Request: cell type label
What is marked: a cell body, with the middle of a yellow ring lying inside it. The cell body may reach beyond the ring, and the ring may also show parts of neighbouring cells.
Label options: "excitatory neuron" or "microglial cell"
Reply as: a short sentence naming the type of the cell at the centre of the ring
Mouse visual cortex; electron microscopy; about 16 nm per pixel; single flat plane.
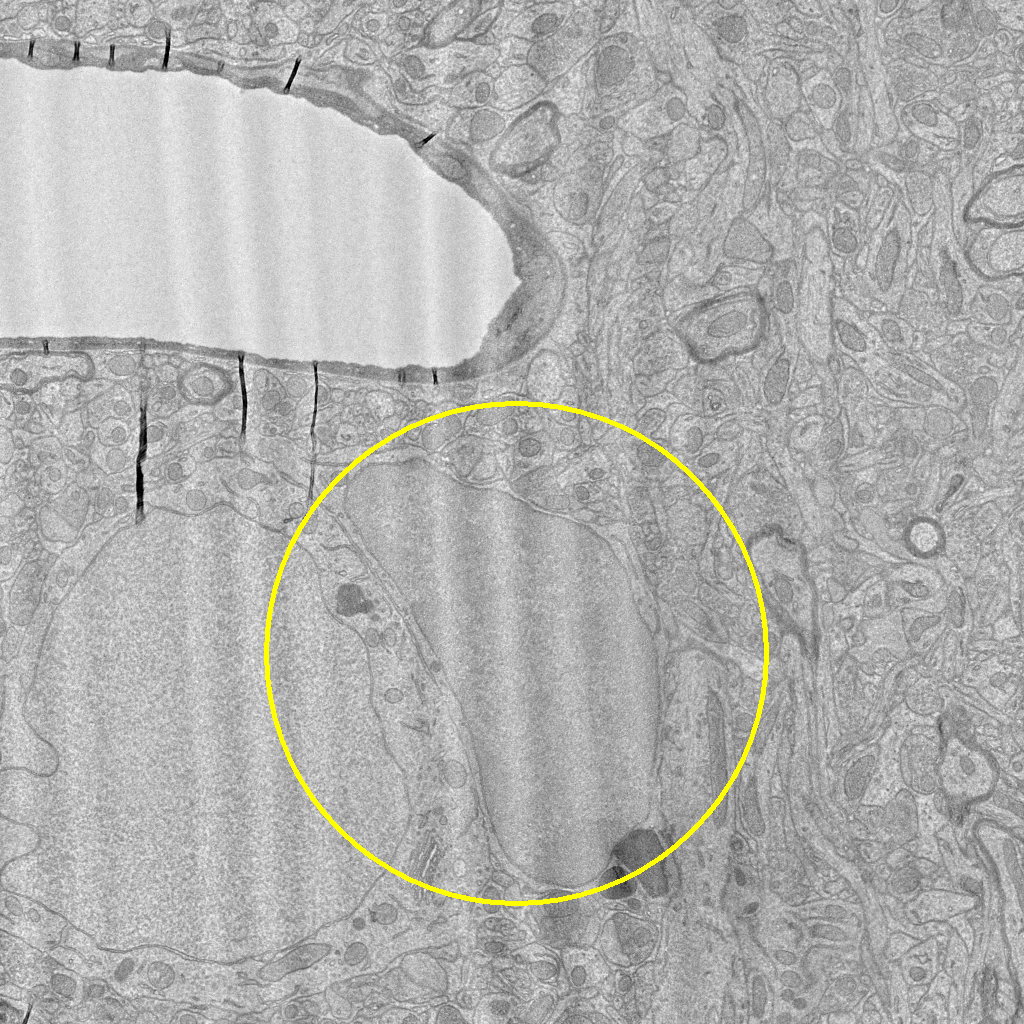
The marked cell body is that of a microglial cell.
